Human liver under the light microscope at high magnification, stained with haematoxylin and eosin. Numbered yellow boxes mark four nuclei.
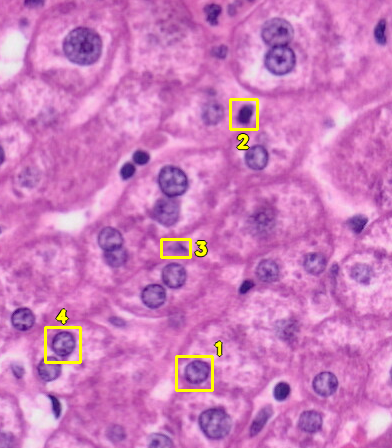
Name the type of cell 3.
endothelial cell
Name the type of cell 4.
hepatocyte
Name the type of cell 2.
lymphocyte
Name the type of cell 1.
hepatocyte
